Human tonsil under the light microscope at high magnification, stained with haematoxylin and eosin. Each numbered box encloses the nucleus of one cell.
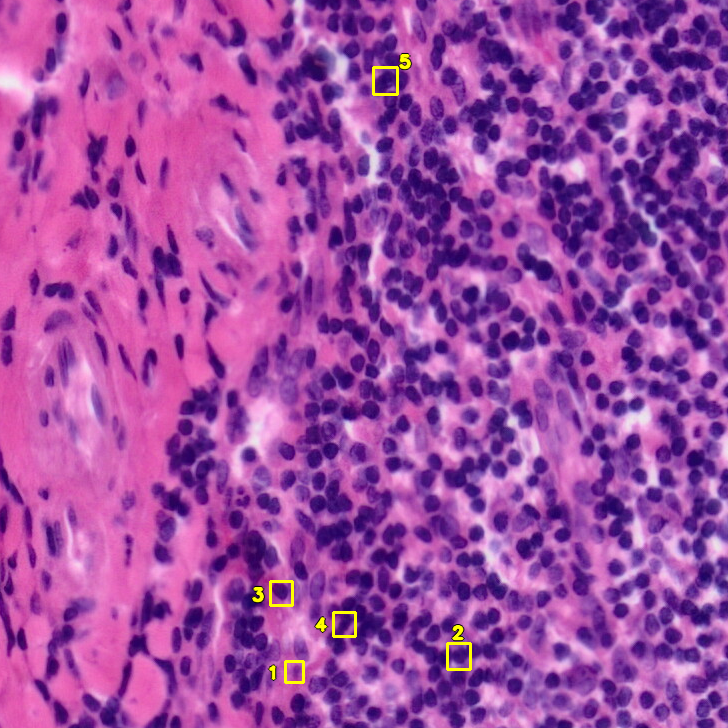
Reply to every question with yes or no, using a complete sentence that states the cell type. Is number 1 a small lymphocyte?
No, the cell given the number 1 is an endothelial cell, so not a small lymphocyte.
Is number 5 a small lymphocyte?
Yes, the cell carrying label 5 is a small lymphocyte.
